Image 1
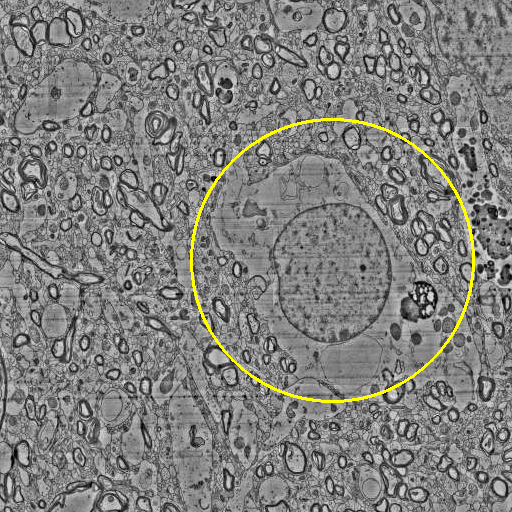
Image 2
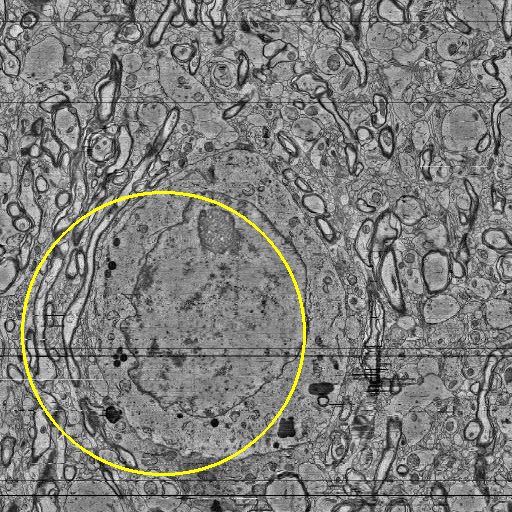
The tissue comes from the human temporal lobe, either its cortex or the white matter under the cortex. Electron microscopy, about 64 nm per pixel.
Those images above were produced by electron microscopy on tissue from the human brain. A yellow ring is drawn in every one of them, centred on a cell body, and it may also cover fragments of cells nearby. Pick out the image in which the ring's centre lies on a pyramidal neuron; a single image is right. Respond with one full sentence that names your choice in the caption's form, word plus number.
Image 2 is my choice: its ring is centred on the requested cell.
